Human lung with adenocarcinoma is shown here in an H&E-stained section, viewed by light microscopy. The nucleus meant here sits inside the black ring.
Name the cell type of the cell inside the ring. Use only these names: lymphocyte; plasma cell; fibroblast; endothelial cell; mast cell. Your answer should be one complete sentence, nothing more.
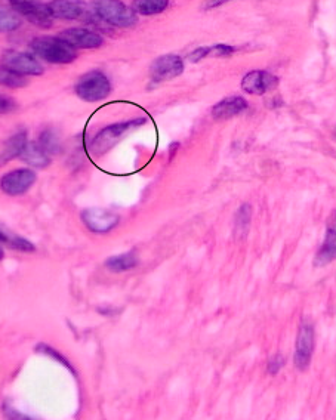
Students should answer that the cell inside the ring is an endothelial cell.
